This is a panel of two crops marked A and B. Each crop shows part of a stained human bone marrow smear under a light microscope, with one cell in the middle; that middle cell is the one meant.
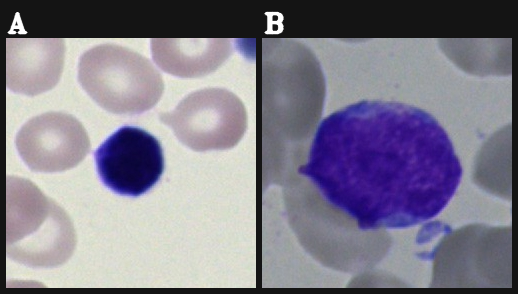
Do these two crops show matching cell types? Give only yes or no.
no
